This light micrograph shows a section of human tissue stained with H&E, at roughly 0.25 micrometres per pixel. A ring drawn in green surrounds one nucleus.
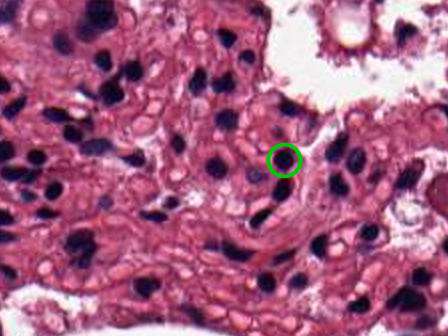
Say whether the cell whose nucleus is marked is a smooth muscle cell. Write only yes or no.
no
